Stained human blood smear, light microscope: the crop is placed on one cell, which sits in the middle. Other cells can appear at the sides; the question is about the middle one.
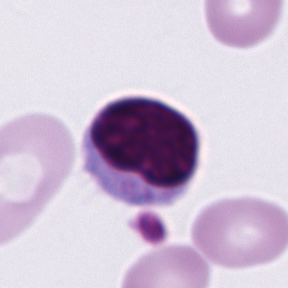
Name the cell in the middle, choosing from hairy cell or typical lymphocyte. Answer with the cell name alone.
typical lymphocyte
